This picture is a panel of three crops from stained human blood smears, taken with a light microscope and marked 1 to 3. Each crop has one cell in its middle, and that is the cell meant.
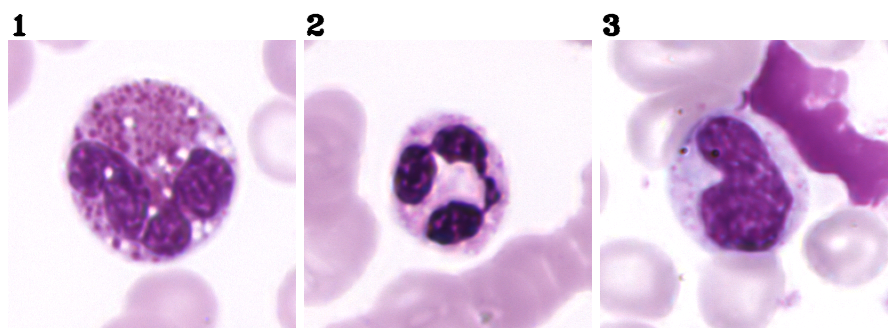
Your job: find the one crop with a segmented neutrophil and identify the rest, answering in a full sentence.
Crop 2 counts as a segmented neutrophil, while crop 1 is an eosinophil and crop 3 is a band neutrophil.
